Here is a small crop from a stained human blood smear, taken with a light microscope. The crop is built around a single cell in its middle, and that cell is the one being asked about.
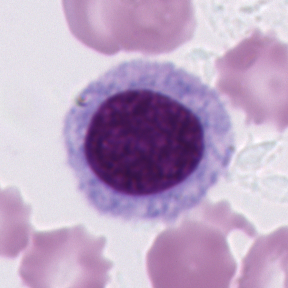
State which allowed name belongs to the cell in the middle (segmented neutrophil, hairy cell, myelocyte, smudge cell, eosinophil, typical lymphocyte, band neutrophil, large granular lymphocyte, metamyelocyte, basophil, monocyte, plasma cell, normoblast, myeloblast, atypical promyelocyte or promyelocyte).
hairy cell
